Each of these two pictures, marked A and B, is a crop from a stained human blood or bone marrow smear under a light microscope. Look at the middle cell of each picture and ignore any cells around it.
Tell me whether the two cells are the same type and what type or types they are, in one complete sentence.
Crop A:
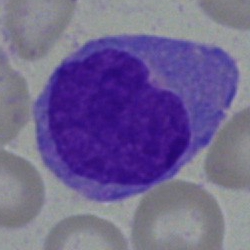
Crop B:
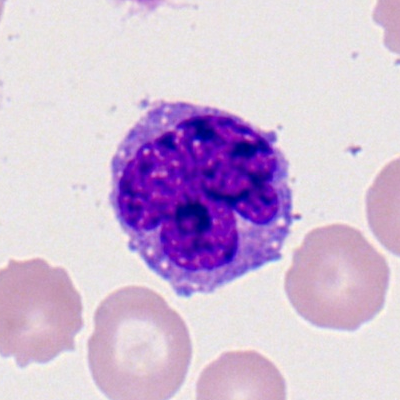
Yes, the two crops show monocytes, one cell each.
